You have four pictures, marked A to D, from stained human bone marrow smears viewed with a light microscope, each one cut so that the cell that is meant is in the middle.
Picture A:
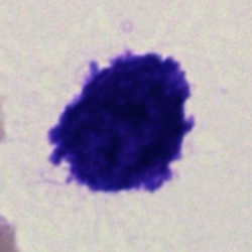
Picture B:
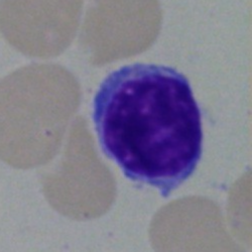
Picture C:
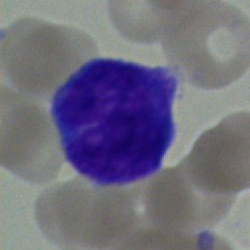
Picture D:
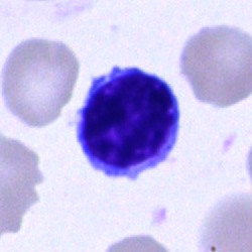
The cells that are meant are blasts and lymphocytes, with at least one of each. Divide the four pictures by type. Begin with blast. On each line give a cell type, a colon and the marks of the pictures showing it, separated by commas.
blast: A, C
lymphocyte: B, D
